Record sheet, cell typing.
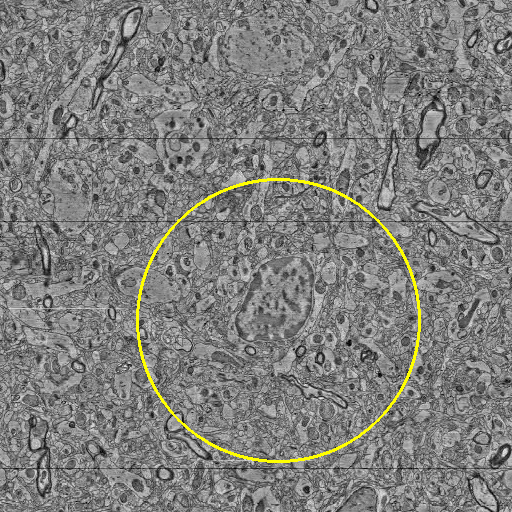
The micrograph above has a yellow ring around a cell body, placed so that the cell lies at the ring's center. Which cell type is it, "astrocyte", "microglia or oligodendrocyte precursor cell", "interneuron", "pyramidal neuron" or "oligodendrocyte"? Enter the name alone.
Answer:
microglia or oligodendrocyte precursor cell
